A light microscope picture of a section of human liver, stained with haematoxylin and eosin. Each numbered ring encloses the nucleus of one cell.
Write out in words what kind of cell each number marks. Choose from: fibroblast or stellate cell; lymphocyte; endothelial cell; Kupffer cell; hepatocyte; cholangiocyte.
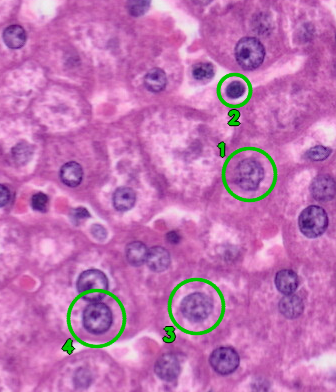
Cell 1 is a hepatocyte, cell 2 is a lymphocyte, cell 3 is a hepatocyte and cell 4 is a hepatocyte.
